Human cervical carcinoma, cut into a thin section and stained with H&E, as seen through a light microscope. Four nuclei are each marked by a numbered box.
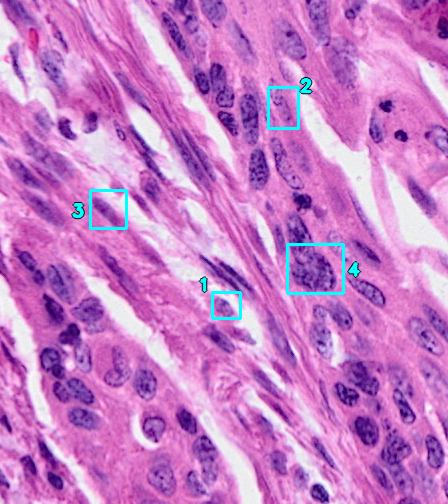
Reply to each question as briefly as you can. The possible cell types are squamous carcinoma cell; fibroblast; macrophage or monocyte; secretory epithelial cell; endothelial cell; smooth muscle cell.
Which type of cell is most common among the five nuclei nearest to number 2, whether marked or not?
squamous carcinoma cell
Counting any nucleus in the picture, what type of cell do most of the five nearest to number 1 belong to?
fibroblast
